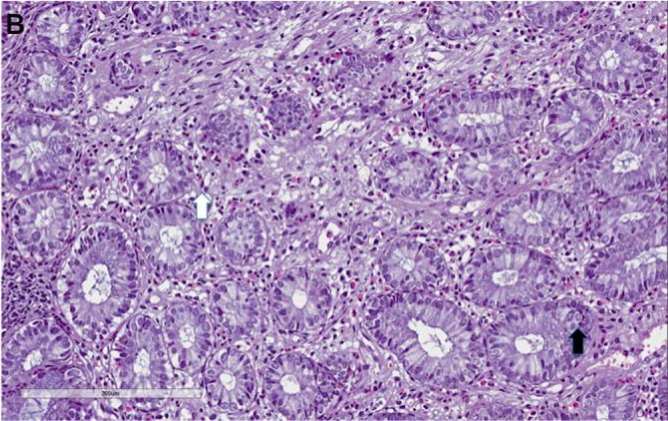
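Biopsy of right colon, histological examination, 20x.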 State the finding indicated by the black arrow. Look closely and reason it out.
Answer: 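The arrow points to the base of a crypt epithelium.
Conclusion: cell apoptosis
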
